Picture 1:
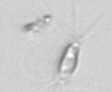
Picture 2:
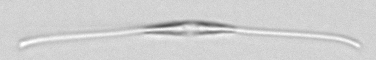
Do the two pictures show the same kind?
No: Chrysochromulina parkeae, then Cylindrotheca.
